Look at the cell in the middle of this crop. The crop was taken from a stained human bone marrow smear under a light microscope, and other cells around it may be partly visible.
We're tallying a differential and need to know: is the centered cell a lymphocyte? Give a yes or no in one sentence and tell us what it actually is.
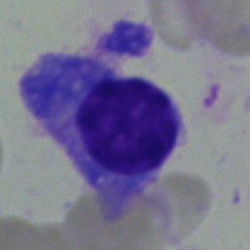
No, the cell in the centre of the crop is a plasma cell as opposed to a lymphocyte.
